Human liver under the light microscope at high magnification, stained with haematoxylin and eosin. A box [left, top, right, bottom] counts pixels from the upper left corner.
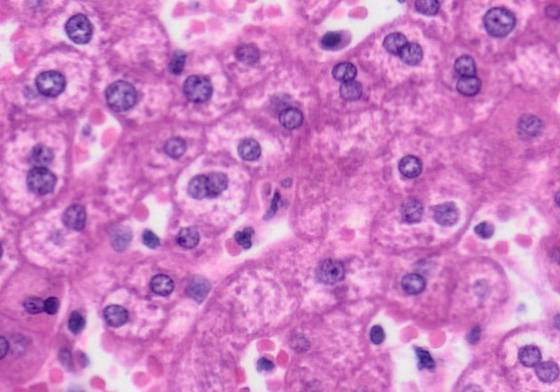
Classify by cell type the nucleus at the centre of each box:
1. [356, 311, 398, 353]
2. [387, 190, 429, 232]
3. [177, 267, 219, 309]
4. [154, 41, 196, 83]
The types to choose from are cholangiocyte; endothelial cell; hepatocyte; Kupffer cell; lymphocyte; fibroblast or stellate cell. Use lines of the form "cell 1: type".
cell 1: lymphocyte
cell 2: hepatocyte
cell 3: endothelial cell
cell 4: fibroblast or stellate cell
